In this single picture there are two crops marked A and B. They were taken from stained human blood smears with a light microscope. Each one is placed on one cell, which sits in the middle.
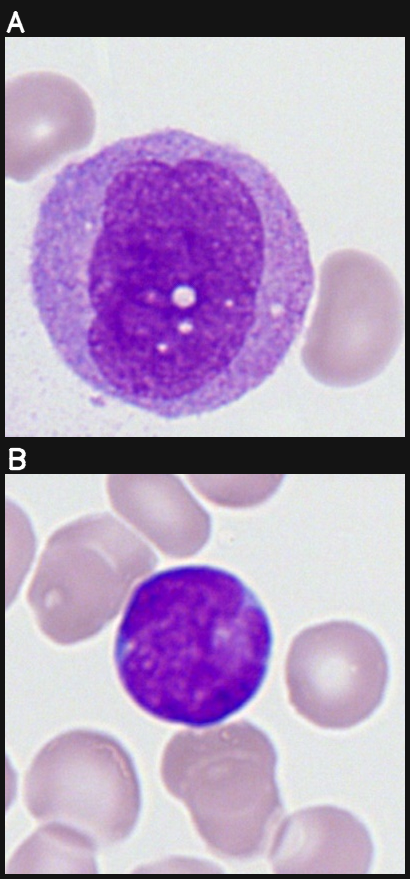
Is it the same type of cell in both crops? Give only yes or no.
yes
